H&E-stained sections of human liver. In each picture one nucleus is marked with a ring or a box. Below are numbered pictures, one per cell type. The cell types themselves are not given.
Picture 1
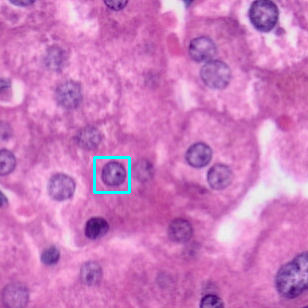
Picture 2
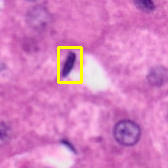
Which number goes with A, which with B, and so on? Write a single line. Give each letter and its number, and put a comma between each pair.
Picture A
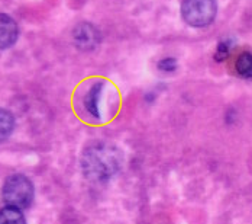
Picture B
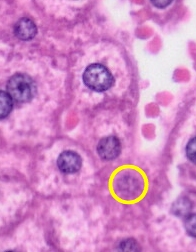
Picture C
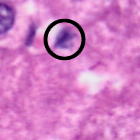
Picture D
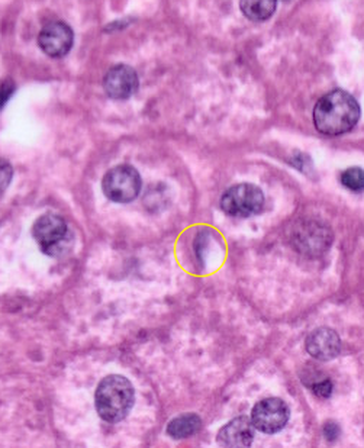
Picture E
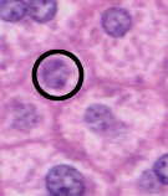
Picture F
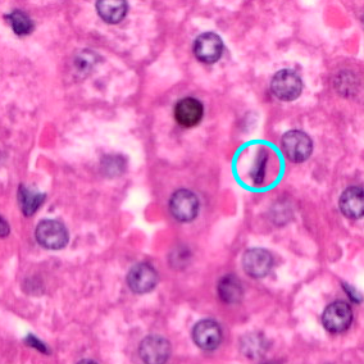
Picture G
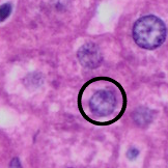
A 2, B 1, C 2, D 2, E 1, F 2, G 1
